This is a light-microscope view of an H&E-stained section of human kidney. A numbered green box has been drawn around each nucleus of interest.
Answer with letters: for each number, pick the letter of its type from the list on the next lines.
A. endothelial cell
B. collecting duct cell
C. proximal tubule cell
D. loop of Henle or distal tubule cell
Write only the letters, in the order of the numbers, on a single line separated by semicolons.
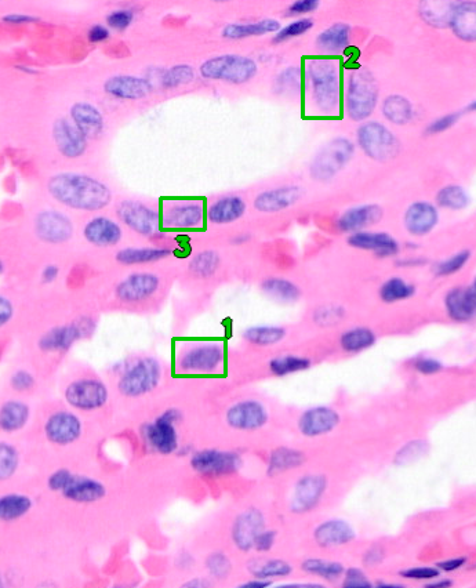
D; B; B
